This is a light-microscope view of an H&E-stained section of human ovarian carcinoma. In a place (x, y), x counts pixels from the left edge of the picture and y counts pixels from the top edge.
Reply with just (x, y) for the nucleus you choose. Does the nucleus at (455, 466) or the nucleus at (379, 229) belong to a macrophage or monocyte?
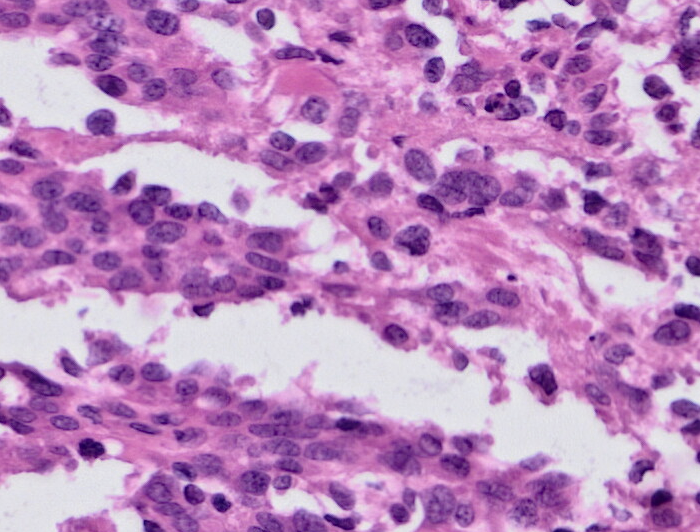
(379, 229)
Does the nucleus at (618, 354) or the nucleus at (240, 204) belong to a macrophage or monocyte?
(618, 354)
